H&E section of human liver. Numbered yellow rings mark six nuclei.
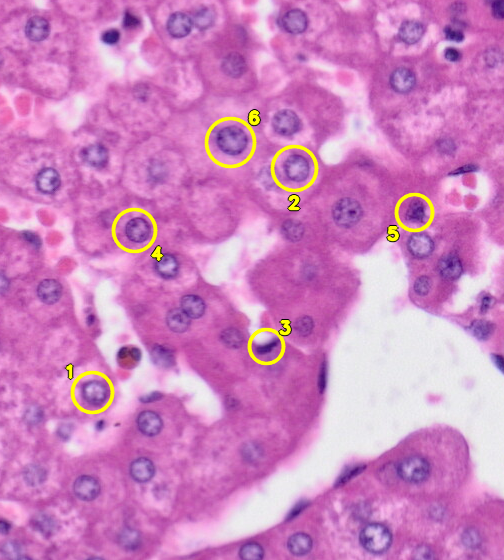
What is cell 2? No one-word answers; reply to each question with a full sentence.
Cell 2 in the field of view is a hepatocyte.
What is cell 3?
Cell number 3 in this section is a fibroblast or stellate cell.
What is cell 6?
Cell 6 of the marked set is a hepatocyte.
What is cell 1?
The marked nucleus 1 is that of a hepatocyte.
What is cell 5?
The cell identified by the number 5 is a fibroblast or stellate cell.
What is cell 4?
The cell to which the number 4 is assigned is a hepatocyte.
